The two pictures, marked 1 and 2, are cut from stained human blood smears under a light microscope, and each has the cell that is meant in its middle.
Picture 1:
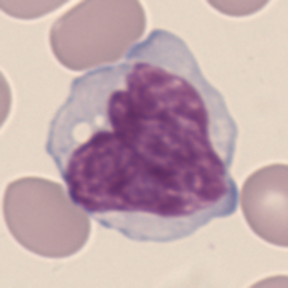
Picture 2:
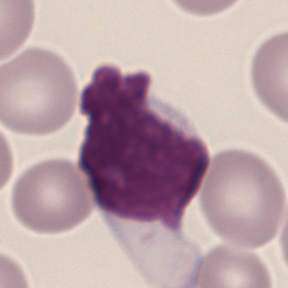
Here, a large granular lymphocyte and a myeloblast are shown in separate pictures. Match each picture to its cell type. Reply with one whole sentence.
In picture 1 the cell is a myeloblast; in picture 2, a large granular lymphocyte.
